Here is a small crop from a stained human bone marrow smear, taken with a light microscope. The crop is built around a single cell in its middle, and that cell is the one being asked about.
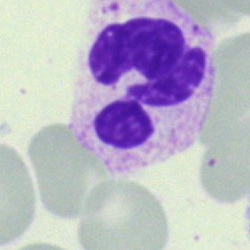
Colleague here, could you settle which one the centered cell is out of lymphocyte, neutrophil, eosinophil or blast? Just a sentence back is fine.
The centrally located cell in the crop is a neutrophil.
